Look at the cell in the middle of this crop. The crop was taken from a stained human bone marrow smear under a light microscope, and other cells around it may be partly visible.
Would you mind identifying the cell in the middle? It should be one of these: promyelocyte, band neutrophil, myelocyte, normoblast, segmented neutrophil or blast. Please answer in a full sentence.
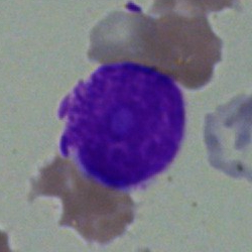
Of the cells in this crop, the central one is a blast.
